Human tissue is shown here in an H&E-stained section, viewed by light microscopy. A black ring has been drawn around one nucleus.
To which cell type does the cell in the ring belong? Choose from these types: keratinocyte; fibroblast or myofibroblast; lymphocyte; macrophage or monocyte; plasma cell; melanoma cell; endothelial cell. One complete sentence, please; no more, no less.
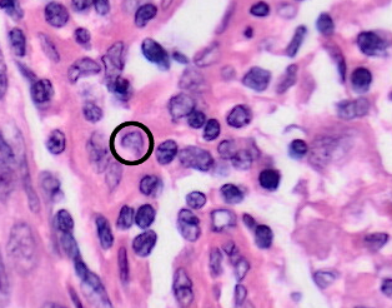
In this preparation, the cell in the ring is an endothelial cell.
